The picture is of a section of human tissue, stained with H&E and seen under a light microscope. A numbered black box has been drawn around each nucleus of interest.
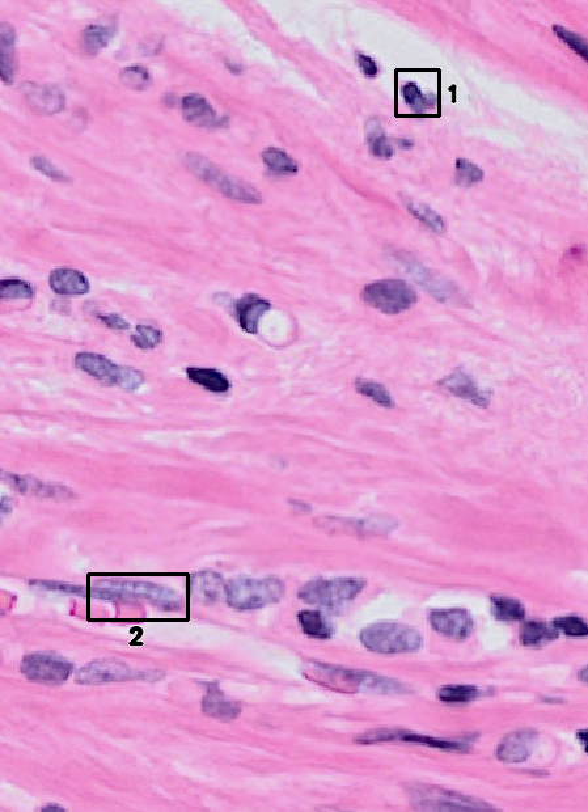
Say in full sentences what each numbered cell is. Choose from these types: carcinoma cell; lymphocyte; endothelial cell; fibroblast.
Cell 1 is a lymphocyte. Cell 2 is an endothelial cell.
